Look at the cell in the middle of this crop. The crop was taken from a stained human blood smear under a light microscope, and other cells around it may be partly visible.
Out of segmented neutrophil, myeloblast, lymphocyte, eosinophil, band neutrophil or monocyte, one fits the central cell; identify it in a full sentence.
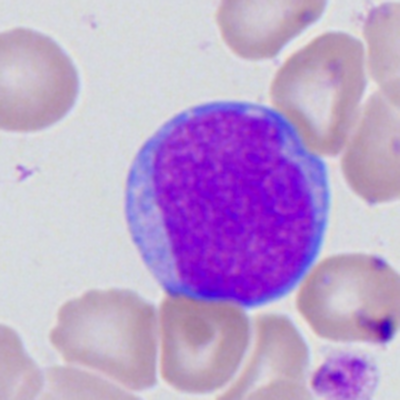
The crop shows a myeloblast in its centre.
